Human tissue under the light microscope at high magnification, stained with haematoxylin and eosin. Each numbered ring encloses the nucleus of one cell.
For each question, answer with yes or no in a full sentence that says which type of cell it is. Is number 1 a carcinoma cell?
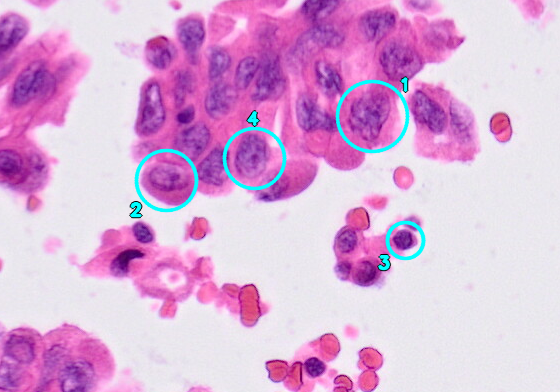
Yes, the cell that has number 1 is a carcinoma cell.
